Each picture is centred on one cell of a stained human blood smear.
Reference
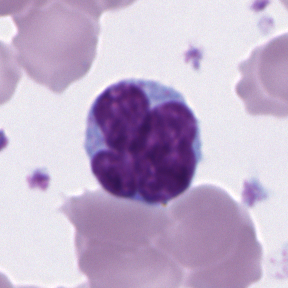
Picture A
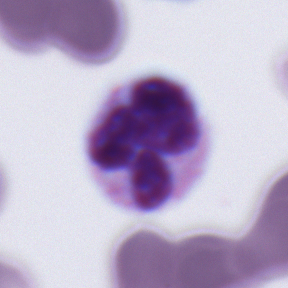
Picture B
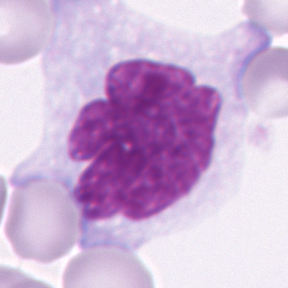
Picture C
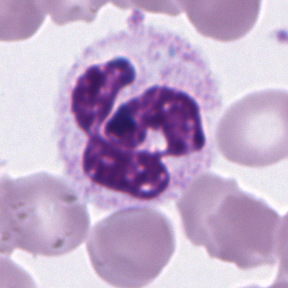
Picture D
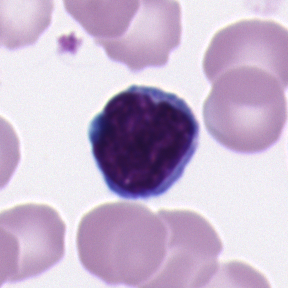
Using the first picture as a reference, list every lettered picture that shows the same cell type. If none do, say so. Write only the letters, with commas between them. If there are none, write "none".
D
